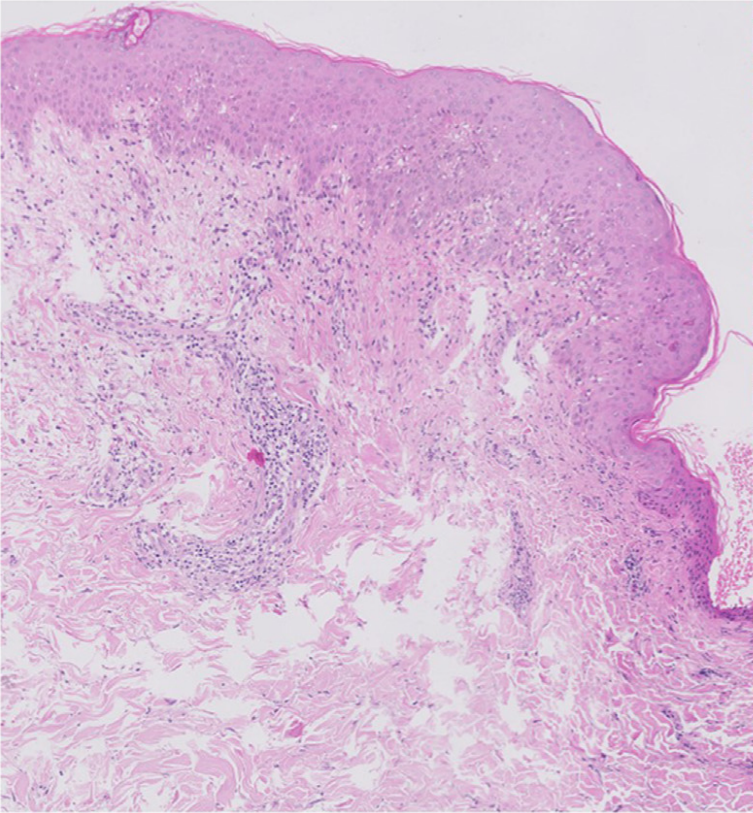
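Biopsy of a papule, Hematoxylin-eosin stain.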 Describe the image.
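This is skin with the epidermis along the top and the dermis below. The epidermis is a thick band of pink keratinocytes with a thin surface layer of keratin, and it is somewhat thickened. Scattered among its pale cells, especially near its lower border, are small dark nuclei of inflammatory cells that have wandered in. The upper dermis beneath is pale and loose, and within it small dark-nucleated inflammatory cells gather, most densely in cuffs around small vessels. Deeper down the collagen is looser and paler, with only a few scattered cells.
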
